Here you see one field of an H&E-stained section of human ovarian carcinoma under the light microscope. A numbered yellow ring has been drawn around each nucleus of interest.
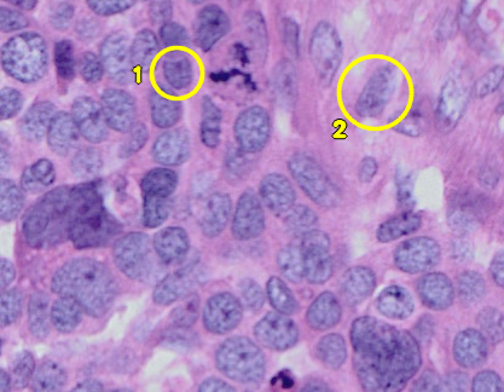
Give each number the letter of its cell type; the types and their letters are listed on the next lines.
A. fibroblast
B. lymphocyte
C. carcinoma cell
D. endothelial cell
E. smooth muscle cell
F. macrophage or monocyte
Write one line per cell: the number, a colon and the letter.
1: C
2: A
